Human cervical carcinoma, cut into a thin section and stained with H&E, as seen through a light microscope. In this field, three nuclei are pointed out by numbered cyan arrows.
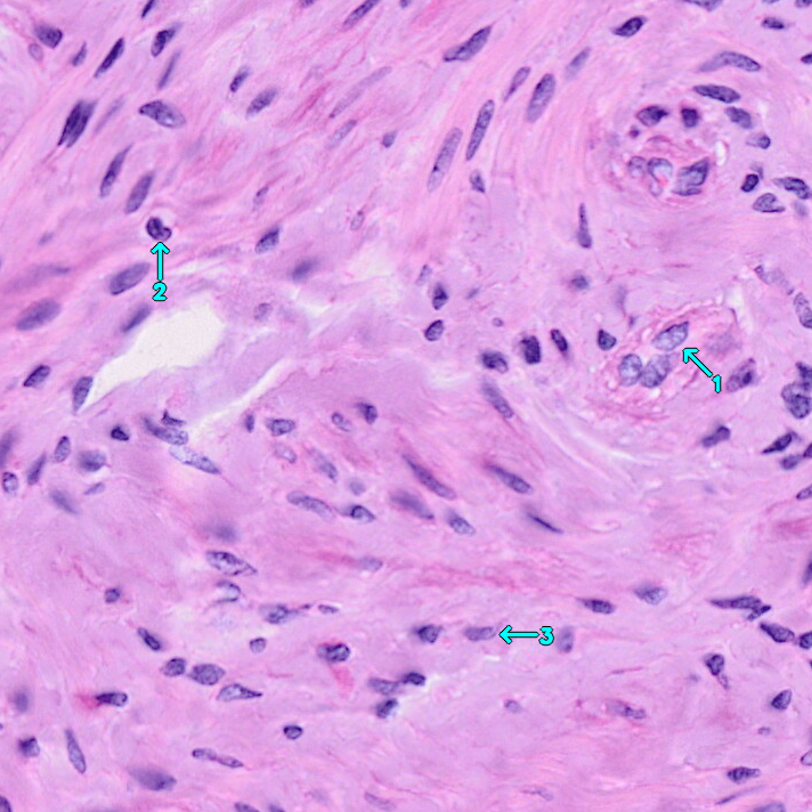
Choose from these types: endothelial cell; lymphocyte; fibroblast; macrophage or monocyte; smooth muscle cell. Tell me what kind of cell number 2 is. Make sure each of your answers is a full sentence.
To a lymphocyte belongs the nucleus marked 2.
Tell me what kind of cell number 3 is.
Cell 3 in the field is a fibroblast.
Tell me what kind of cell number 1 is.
Heads up, the cell numbered 1 is an endothelial cell.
